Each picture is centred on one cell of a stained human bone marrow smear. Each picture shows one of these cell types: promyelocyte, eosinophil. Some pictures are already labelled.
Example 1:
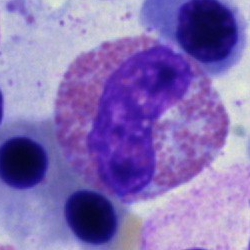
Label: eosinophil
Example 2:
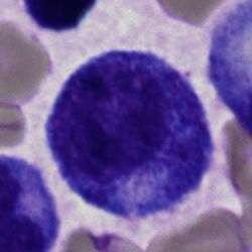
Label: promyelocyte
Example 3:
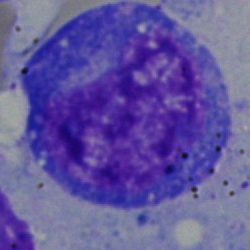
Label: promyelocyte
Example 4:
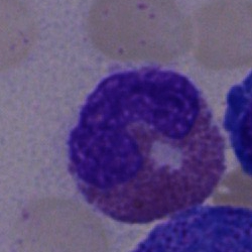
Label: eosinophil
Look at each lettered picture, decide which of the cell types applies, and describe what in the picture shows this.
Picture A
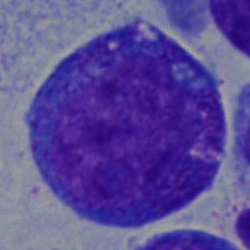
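promyelocyte. Reason: The chromatin looks finely granular rather than coarsely clumped.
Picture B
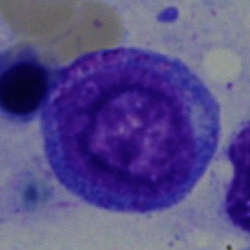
promyelocyte. Reason: The chromatin is finely textured rather than coarsely clumped.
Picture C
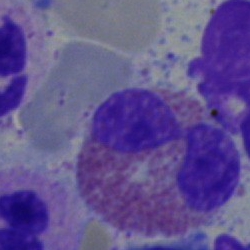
eosinophil. Reason: The nuclear chromatin is dark purple and coarsely clumped.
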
